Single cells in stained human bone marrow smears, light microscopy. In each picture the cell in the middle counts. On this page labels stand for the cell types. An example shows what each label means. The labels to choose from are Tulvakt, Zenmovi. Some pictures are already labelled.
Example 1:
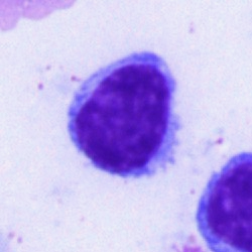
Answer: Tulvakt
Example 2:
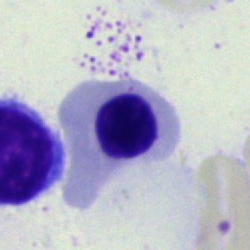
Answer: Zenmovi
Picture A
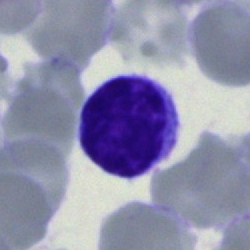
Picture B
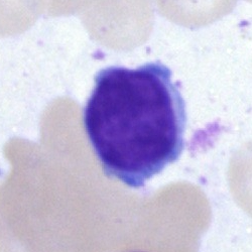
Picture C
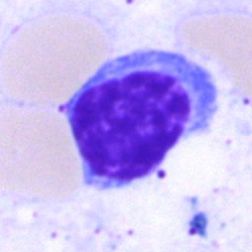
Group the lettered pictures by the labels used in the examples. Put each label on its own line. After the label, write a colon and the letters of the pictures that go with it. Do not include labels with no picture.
Tulvakt: A, B, C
